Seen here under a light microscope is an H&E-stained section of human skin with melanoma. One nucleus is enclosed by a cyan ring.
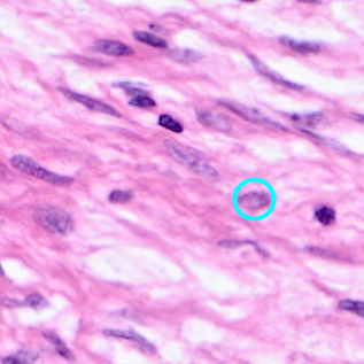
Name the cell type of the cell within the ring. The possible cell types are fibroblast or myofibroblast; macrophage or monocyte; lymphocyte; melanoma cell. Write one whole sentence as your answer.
In this preparation, the cell within the ring is a fibroblast or myofibroblast.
